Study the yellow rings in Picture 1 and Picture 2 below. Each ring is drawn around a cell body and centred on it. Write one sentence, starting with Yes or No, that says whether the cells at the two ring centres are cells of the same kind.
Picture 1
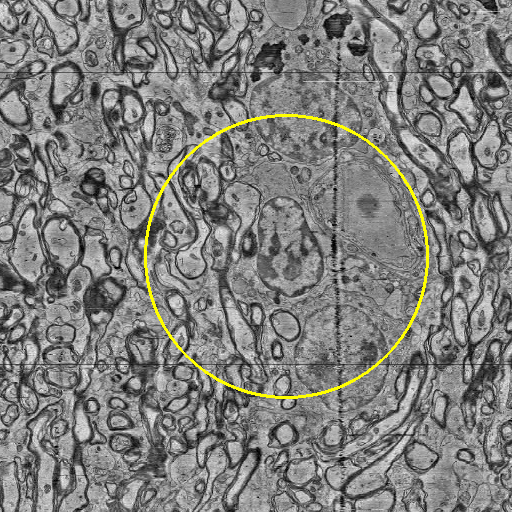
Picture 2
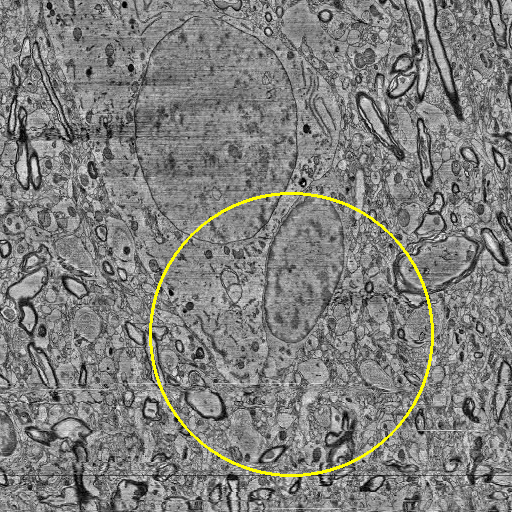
No, the cells at the ring centres are of two kinds.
